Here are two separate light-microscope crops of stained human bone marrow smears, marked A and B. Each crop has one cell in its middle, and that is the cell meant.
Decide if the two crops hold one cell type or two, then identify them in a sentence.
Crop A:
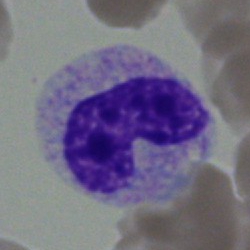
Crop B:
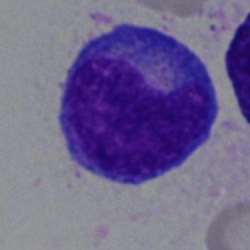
No, a band neutrophil and a monocyte are found in crop A and crop B, respectively.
